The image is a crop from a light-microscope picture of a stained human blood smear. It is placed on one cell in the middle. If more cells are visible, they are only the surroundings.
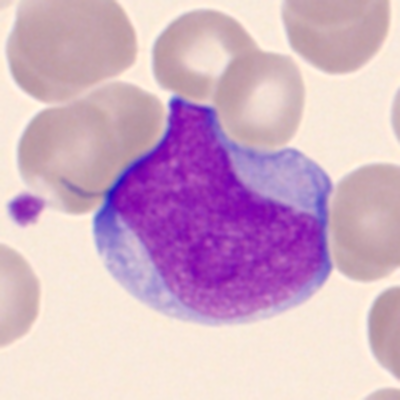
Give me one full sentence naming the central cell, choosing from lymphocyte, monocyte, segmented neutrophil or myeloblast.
The cell under consideration, at the middle of the crop, is a myeloblast.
